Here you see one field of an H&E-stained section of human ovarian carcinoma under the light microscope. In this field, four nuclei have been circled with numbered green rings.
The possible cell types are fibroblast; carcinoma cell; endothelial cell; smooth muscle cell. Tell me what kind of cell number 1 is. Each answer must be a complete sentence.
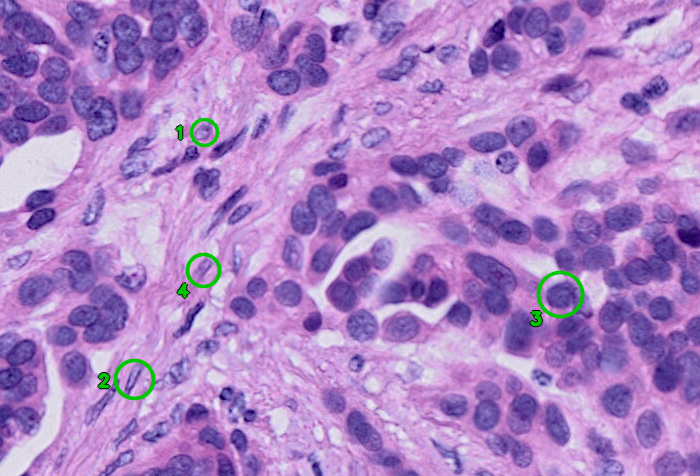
In the tissue shown, cell 1 is a fibroblast.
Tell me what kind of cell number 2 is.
Cell 2 is classified as a fibroblast.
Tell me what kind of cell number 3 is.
To a carcinoma cell belongs the nucleus marked 3.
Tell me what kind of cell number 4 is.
The cell given label 4 is a fibroblast.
